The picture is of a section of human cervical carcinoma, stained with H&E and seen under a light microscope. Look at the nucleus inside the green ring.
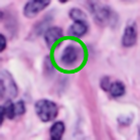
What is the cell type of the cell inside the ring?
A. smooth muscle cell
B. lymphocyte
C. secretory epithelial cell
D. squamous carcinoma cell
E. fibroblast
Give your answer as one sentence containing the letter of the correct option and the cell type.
In this case the cell inside the ring is a lymphocyte, so option B is correct.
